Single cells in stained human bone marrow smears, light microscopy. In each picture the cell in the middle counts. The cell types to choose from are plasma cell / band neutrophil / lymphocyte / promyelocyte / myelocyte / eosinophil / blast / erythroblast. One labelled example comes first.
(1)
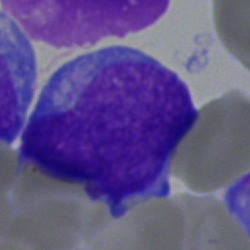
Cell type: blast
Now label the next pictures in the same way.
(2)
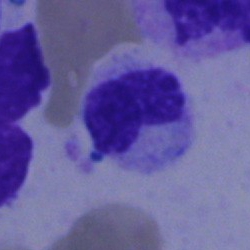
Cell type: band neutrophil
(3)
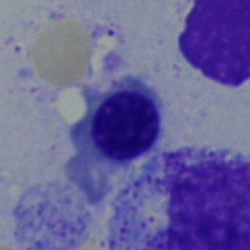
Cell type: erythroblast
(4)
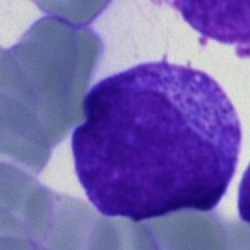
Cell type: blast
